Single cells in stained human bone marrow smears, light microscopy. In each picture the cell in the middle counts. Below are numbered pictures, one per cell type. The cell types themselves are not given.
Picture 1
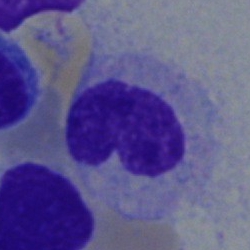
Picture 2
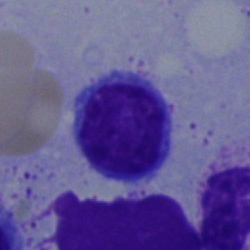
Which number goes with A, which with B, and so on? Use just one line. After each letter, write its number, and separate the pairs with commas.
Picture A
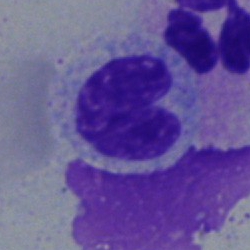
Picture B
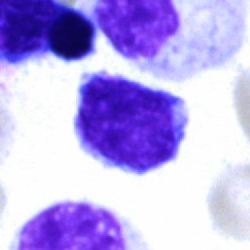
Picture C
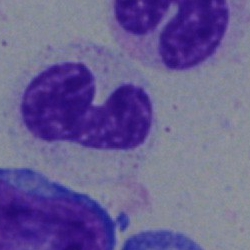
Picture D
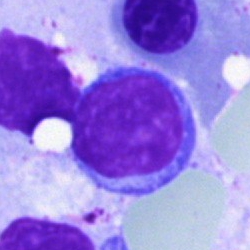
A 1, B 2, C 1, D 2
